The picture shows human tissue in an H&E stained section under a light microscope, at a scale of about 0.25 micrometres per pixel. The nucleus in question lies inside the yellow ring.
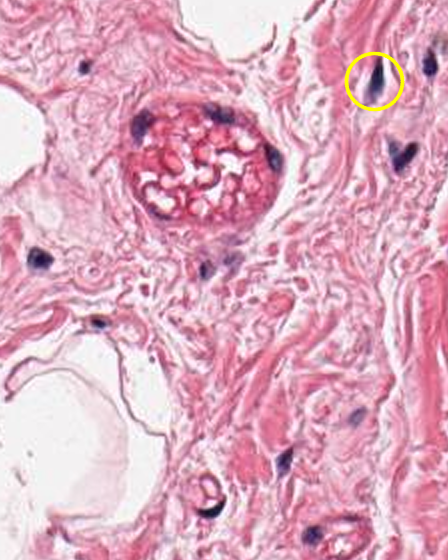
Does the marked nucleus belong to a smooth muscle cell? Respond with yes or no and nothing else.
no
